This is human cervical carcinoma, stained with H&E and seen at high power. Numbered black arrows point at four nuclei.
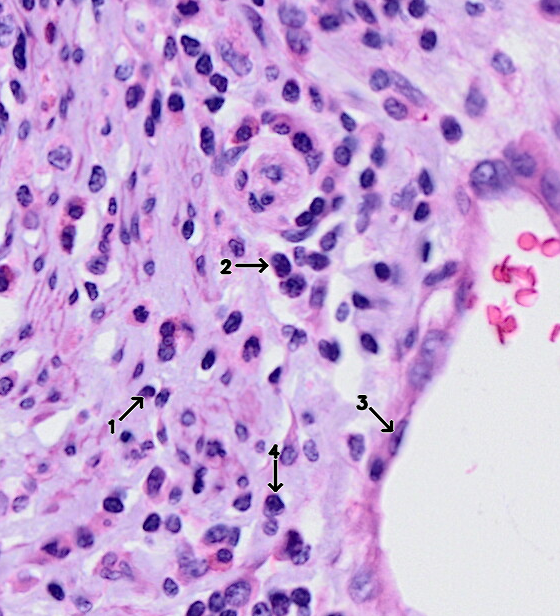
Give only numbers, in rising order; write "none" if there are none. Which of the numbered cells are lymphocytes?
1, 2, 4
